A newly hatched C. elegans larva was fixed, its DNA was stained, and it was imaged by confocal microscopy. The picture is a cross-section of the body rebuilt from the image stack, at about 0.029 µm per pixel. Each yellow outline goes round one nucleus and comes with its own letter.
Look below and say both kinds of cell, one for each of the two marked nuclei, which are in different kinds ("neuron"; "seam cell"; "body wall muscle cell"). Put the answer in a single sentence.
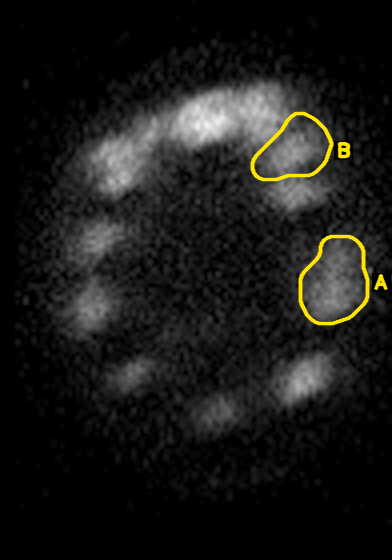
The nucleus A is that of a seam cell, while B is that of a body wall muscle cell.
